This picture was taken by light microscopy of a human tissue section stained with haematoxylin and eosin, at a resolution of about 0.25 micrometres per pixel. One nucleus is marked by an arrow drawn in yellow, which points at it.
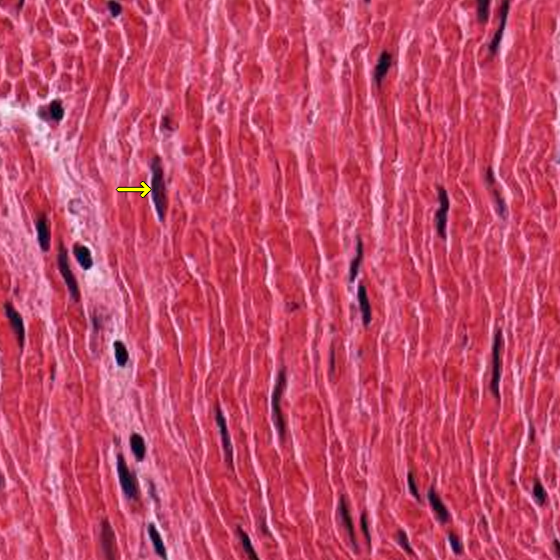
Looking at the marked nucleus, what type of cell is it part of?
smooth muscle cell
